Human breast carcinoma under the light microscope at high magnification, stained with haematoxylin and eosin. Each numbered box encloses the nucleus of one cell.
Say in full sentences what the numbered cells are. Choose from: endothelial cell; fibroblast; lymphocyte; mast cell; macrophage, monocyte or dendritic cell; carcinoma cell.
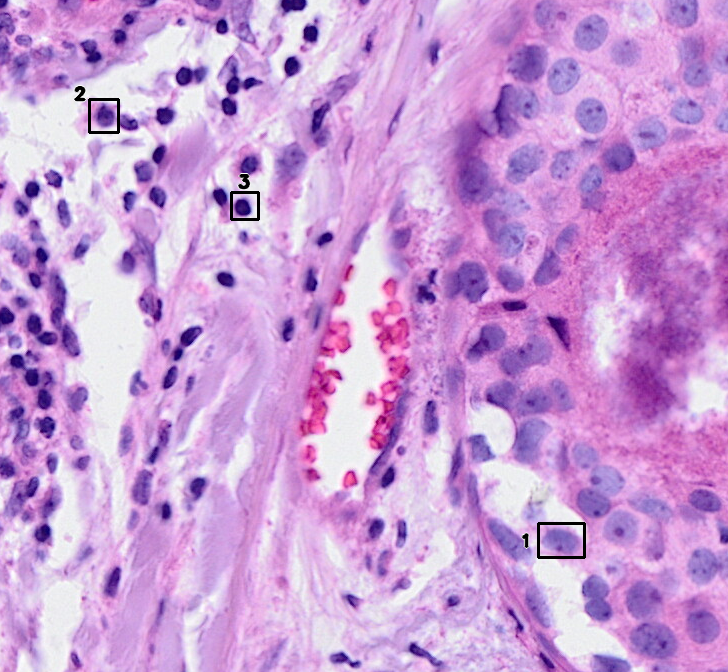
Cell 1 is a carcinoma cell. Cells 2 and 3 are lymphocytes.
